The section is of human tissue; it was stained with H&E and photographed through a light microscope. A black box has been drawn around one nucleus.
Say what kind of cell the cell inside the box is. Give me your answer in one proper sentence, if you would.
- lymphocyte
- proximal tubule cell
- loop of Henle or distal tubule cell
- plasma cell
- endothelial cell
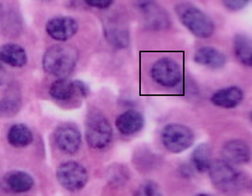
By its classification, the cell inside the box is a plasma cell.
